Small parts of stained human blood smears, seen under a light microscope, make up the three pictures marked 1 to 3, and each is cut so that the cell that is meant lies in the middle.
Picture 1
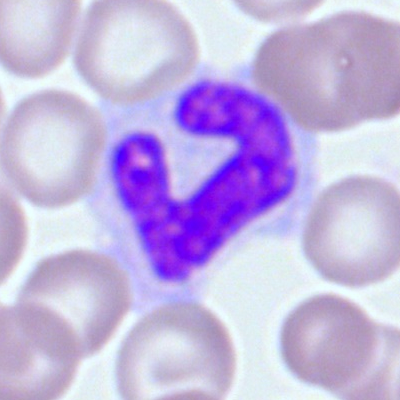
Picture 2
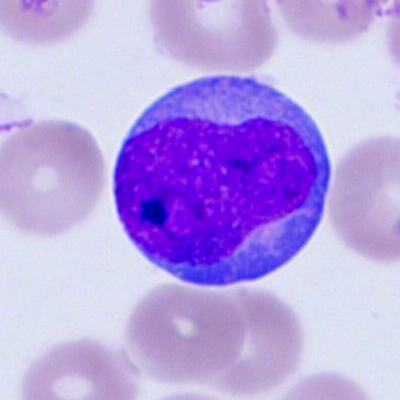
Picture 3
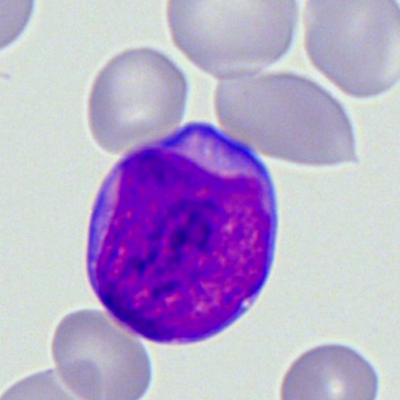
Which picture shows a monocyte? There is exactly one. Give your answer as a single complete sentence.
Picture 1 shows the monocyte.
